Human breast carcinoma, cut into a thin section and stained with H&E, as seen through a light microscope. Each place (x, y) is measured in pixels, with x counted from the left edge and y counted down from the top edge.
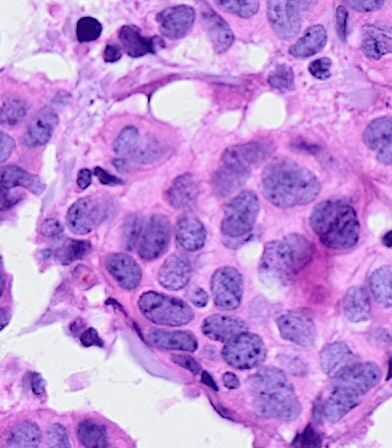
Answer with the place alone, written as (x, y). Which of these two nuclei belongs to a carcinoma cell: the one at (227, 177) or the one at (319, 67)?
(227, 177)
